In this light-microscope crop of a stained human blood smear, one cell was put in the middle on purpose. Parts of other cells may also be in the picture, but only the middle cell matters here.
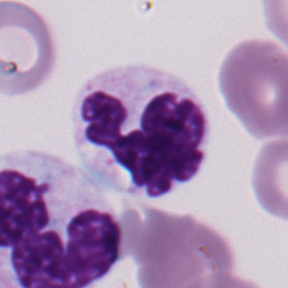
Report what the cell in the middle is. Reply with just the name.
segmented neutrophil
